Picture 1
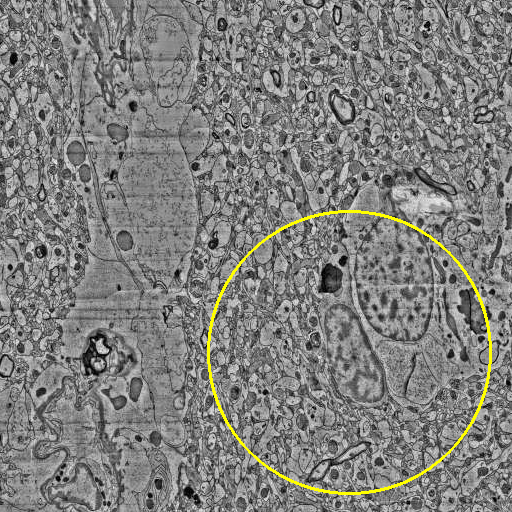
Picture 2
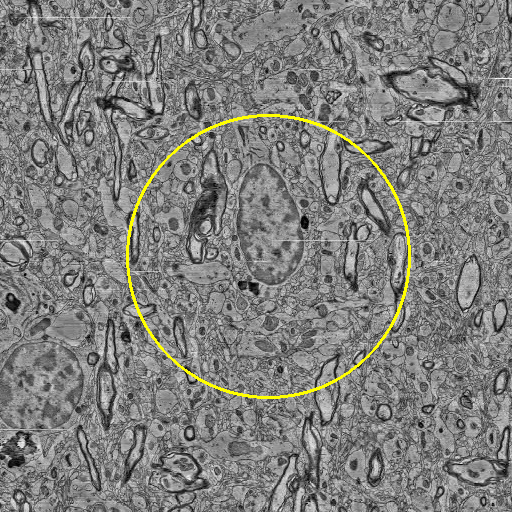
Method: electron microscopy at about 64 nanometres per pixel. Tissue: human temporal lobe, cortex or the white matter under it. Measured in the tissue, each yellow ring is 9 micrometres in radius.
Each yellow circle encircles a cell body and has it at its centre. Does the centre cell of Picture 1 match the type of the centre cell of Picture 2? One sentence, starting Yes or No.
No, the cell centred in Picture 1 and the one in Picture 2 have separate types.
